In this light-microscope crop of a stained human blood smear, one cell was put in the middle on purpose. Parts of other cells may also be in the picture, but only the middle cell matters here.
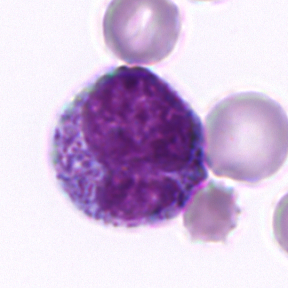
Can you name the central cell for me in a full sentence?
The cell of interest, located centrally, is a myelocyte.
